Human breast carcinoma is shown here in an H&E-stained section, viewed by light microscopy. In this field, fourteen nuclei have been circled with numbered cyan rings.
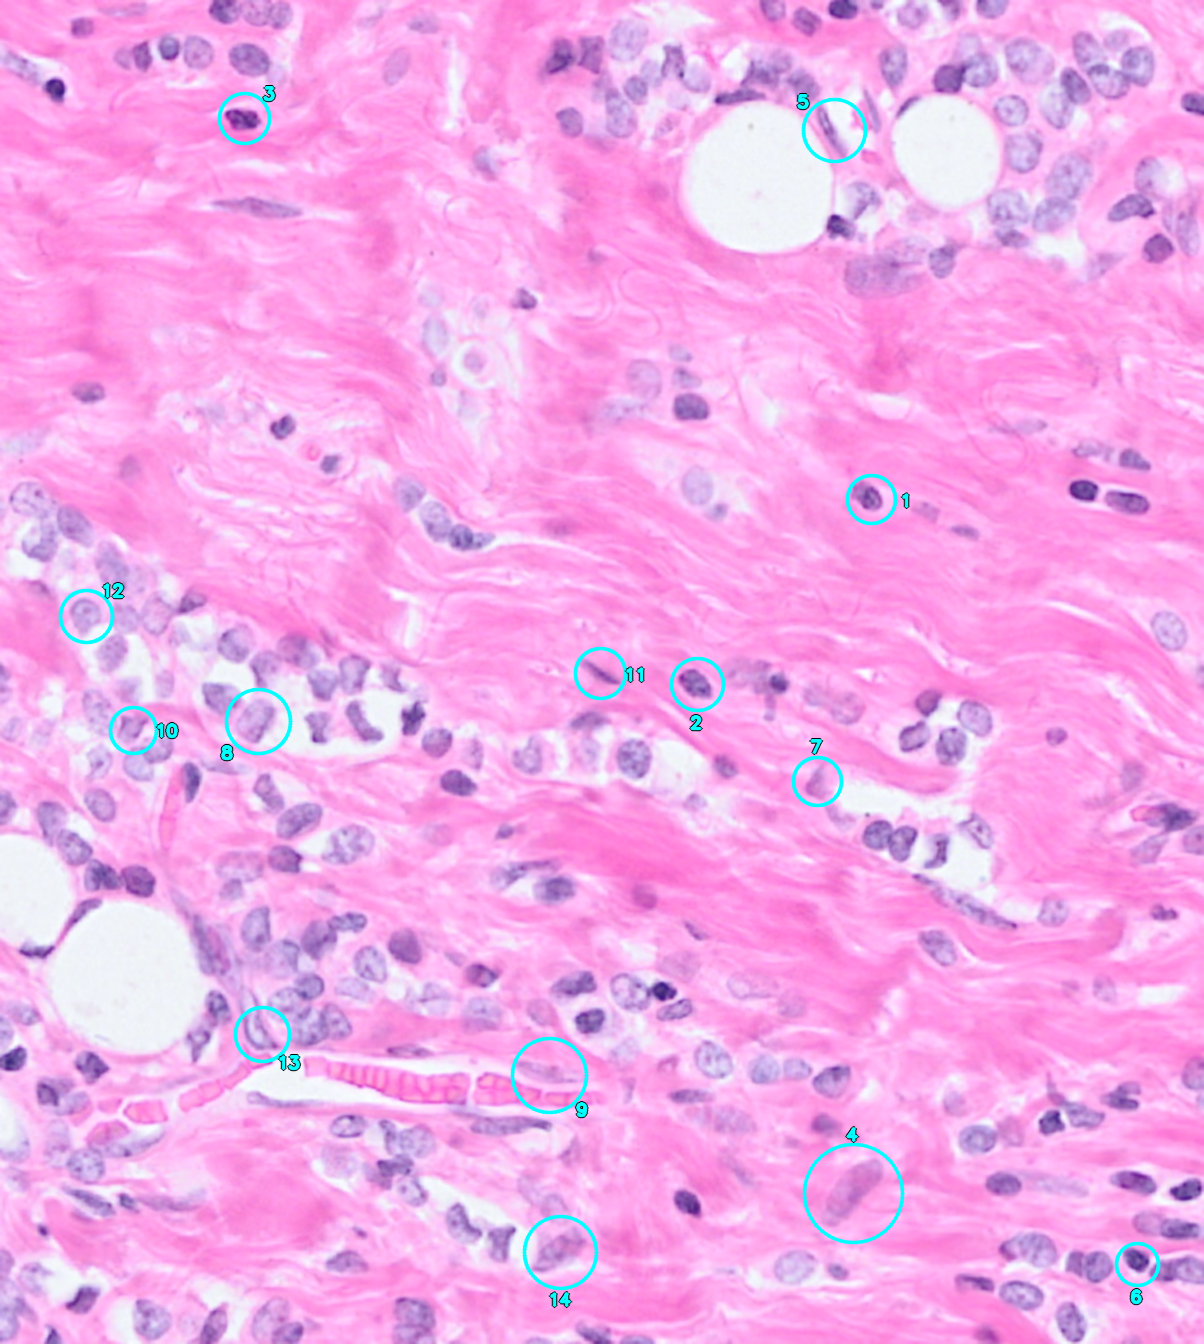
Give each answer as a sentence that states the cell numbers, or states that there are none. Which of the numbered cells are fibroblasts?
In this section, the cells labelled 4, 7, 11 and 14 are fibroblasts.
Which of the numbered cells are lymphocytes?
In this section, the cells numbered 1, 2, 3 and 6 are lymphocytes.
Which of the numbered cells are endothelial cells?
The cells with labels 5, 9 and 13 are endothelial cells.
